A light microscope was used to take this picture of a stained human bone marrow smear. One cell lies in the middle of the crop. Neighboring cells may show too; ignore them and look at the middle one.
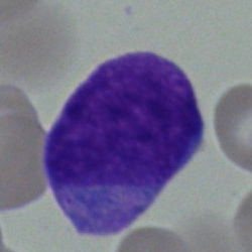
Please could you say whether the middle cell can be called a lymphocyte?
no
